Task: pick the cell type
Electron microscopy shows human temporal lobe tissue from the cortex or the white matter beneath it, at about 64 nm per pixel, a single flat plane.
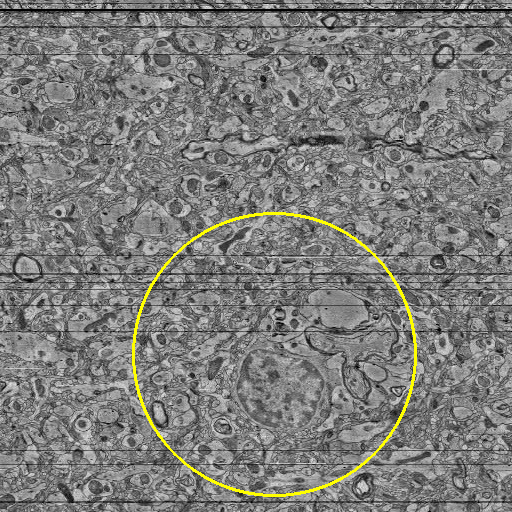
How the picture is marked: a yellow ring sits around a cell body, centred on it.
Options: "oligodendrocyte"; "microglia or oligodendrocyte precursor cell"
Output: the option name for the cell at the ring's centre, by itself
oligodendrocyte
